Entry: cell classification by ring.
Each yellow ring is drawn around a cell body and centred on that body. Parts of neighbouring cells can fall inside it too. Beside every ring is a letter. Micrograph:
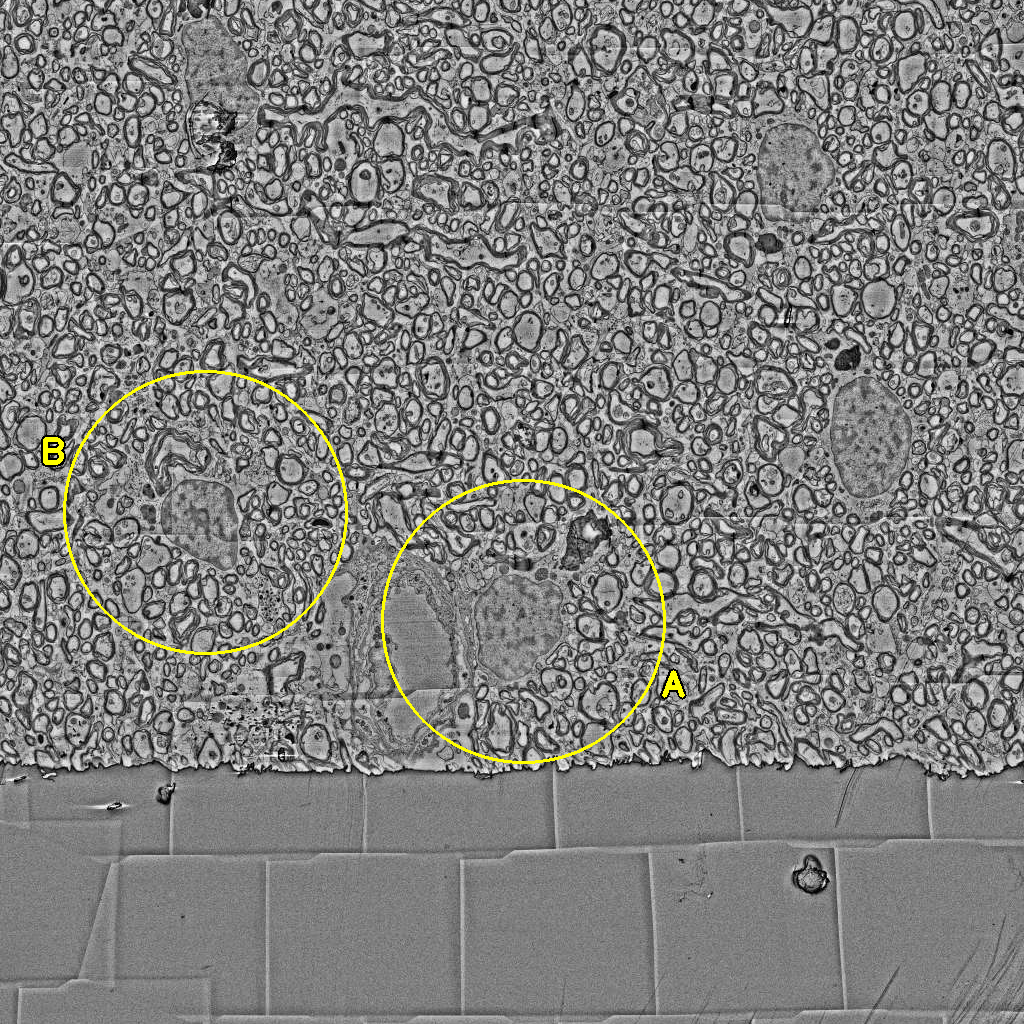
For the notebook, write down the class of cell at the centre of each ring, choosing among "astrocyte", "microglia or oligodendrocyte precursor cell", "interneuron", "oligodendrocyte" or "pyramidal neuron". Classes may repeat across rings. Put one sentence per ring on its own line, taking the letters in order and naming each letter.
Ring A marks an oligodendrocyte.
Ring B marks a microglial cell or oligodendrocyte precursor cell.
